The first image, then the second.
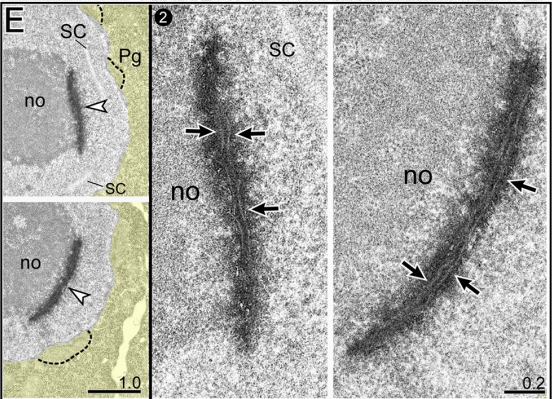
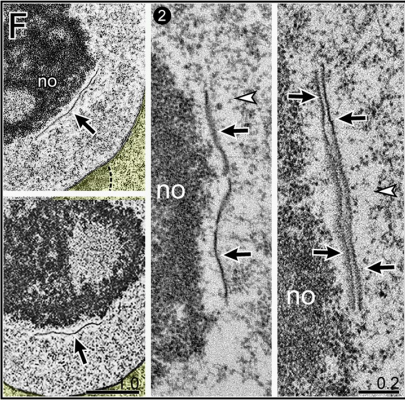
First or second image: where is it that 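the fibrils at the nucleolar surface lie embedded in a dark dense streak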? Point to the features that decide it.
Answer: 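Second image: thin dark threads run along the nucleolus within pale surroundings. First image: a broad dark band along the nucleolus contains pale thread-like lines.
Hence: the first image.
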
